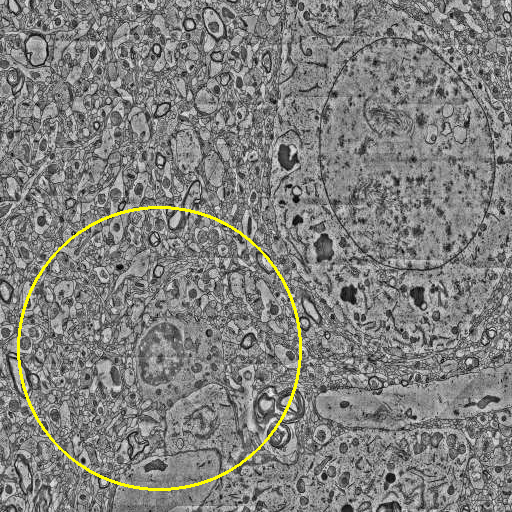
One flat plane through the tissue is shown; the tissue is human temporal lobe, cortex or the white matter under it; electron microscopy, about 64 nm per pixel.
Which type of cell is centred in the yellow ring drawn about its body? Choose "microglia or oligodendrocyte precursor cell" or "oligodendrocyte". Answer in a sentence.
The yellow ring surrounds the cell body of an oligodendrocyte.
